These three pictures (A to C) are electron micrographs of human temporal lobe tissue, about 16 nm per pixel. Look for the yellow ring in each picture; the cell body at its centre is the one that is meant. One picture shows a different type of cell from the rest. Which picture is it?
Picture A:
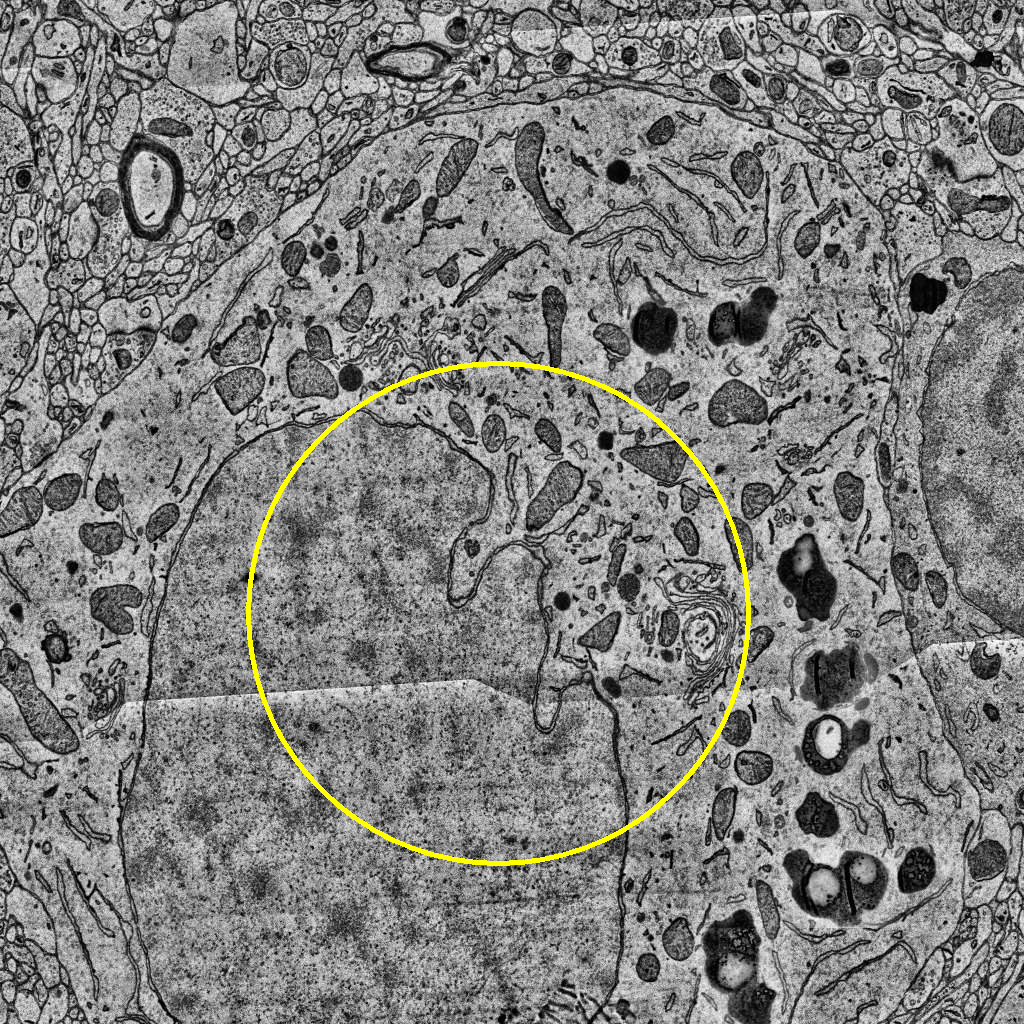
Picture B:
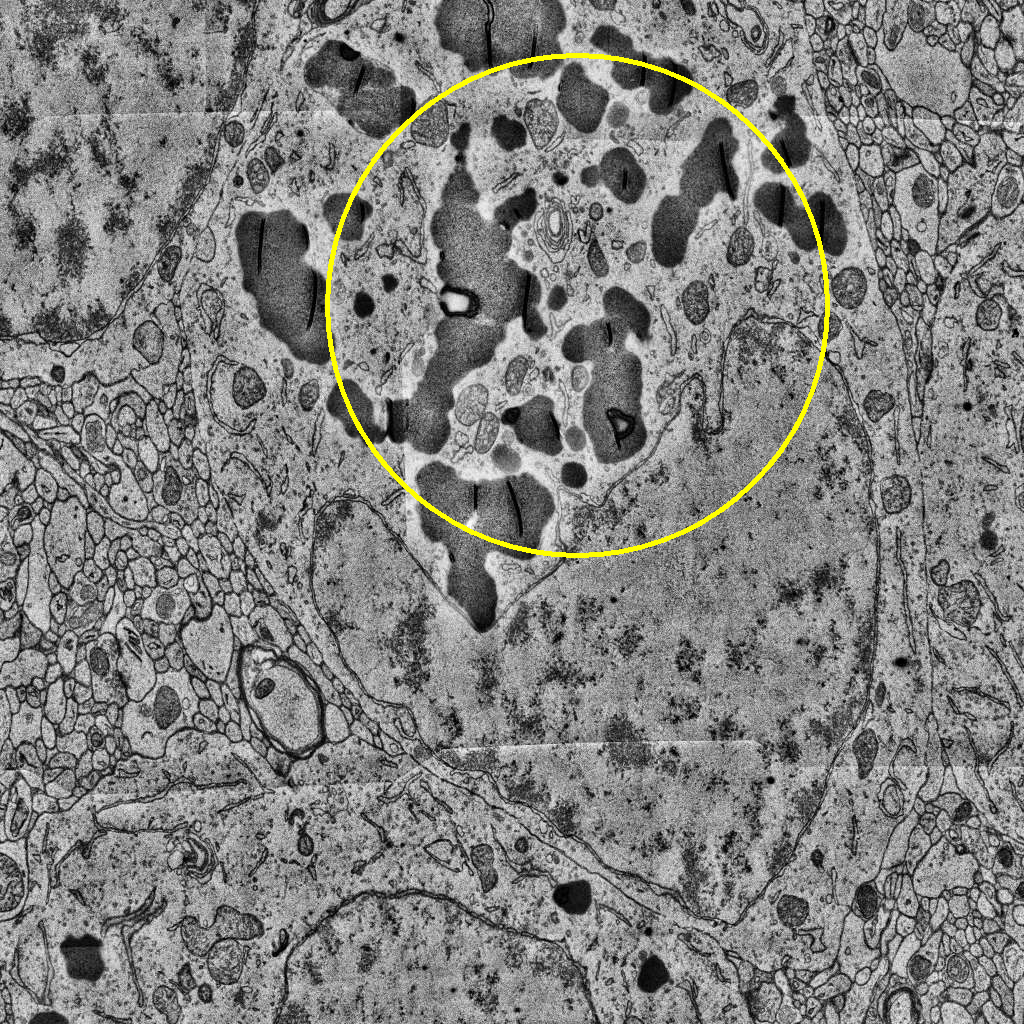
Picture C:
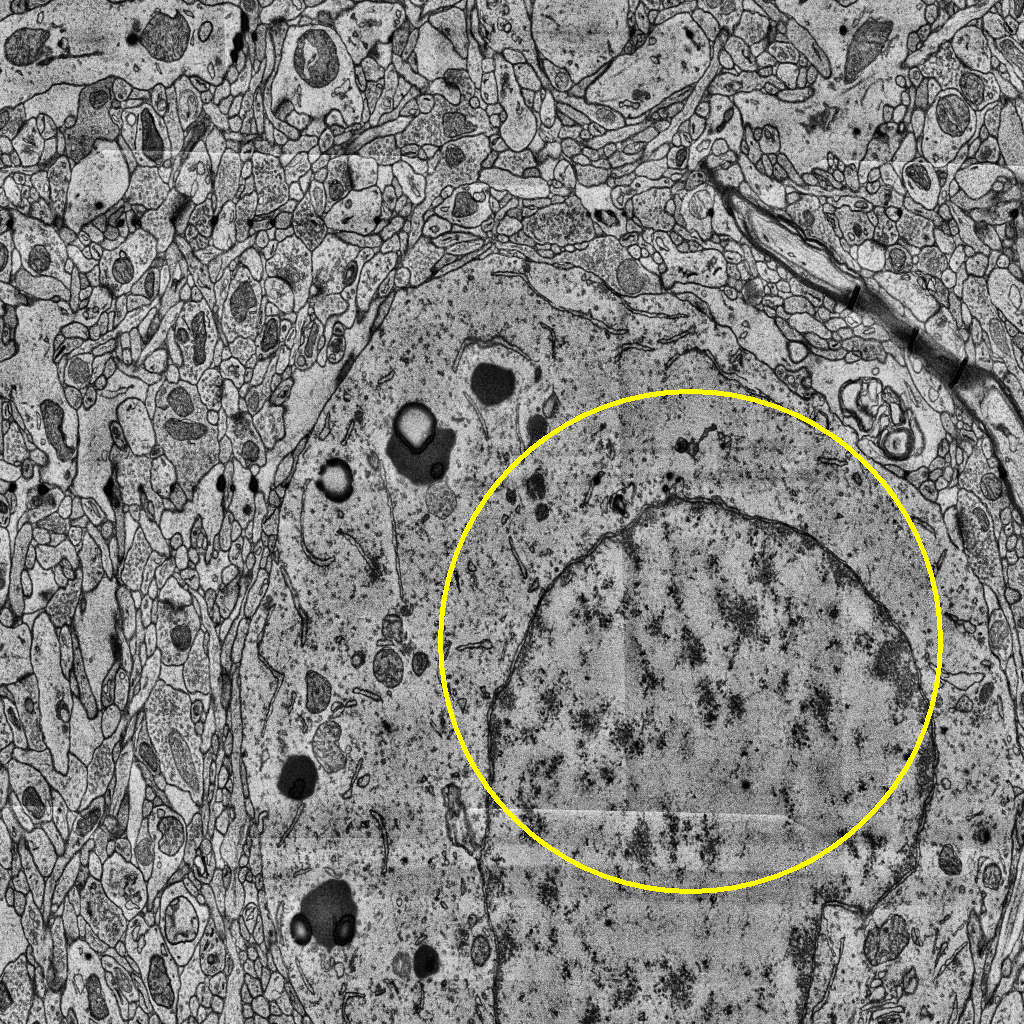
The different one is picture C; it shows a pyramidal neuron, whereas all the others show interneurons.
